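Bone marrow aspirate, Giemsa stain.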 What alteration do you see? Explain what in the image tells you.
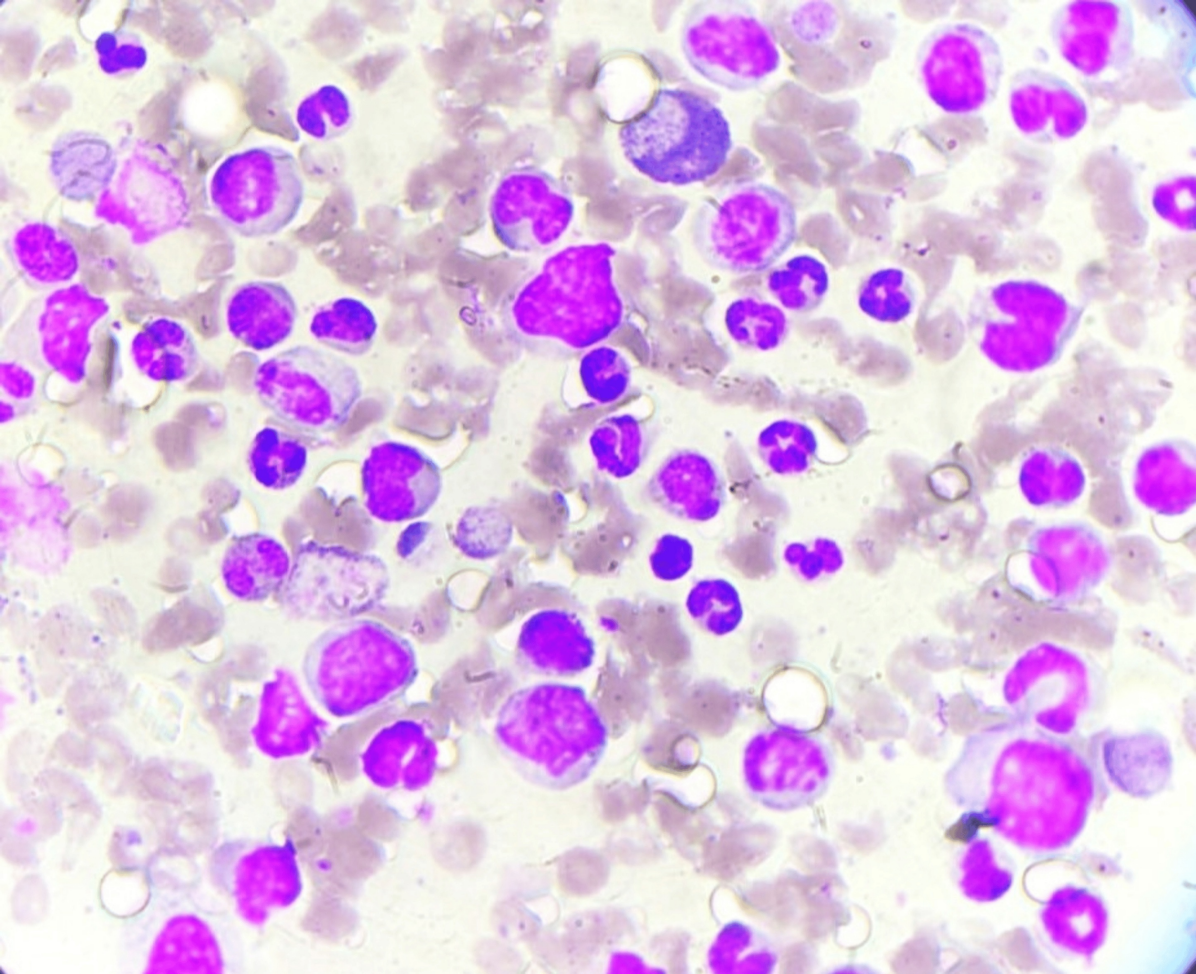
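Nucleated cells are densely crowded among the red cells. Most nucleated cells are granulocytic cells at different stages of maturation. Cells with horseshoe-shaped or lobed nuclei lie beside larger cells with round, finely textured nuclei.
Answer: myeloid hyperplasia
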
